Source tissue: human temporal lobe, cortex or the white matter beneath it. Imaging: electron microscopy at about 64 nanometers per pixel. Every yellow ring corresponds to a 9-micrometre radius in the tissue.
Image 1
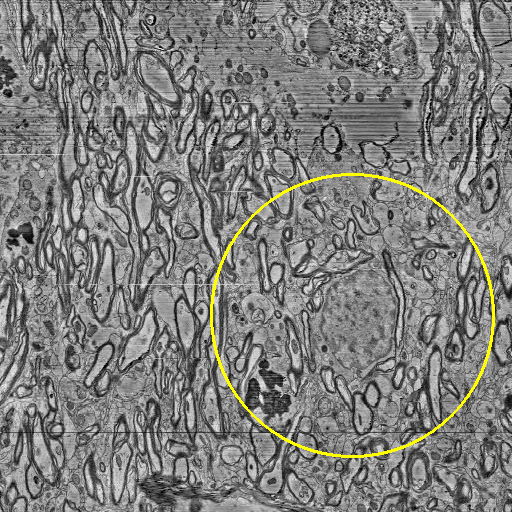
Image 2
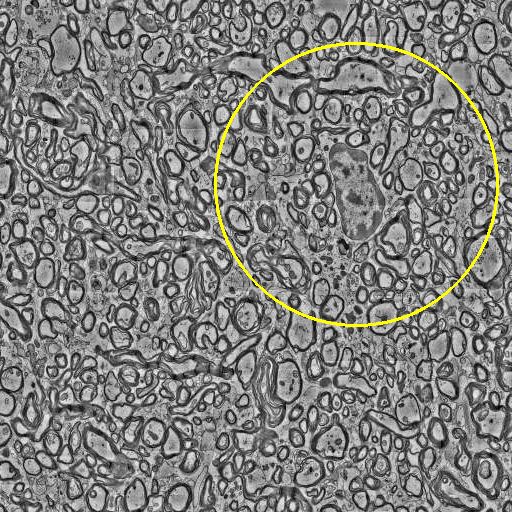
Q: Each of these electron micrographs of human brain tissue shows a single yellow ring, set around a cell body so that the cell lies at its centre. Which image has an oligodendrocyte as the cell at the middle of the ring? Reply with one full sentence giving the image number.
In image 1, the cell lying at the ring's centre is the requested one.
